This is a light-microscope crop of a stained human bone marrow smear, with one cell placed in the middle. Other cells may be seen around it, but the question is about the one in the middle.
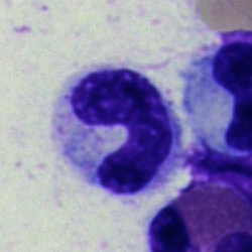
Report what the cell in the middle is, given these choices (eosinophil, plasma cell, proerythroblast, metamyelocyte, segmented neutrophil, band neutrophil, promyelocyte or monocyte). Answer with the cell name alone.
band neutrophil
